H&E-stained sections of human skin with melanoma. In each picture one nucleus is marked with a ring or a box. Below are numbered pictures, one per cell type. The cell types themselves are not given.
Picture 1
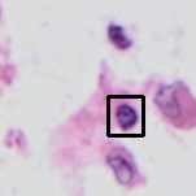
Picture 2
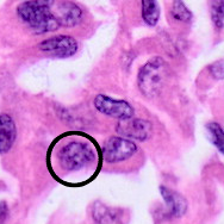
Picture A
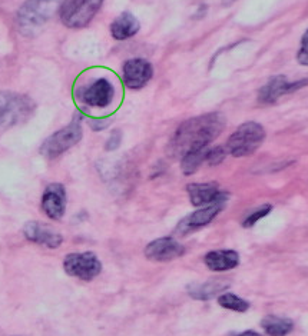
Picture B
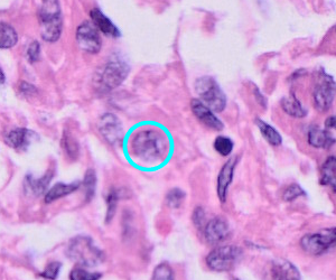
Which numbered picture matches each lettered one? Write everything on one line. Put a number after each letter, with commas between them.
A 1, B 2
